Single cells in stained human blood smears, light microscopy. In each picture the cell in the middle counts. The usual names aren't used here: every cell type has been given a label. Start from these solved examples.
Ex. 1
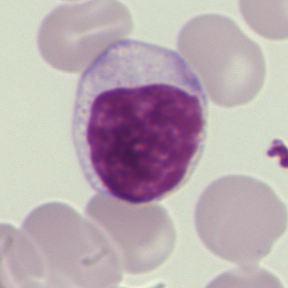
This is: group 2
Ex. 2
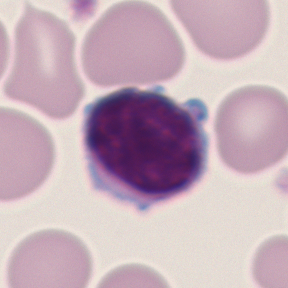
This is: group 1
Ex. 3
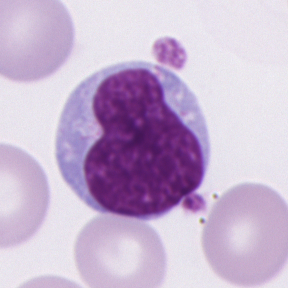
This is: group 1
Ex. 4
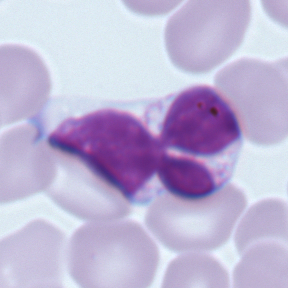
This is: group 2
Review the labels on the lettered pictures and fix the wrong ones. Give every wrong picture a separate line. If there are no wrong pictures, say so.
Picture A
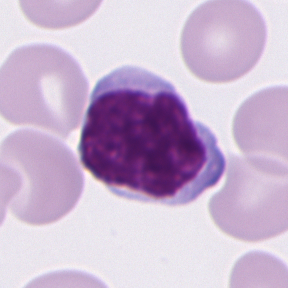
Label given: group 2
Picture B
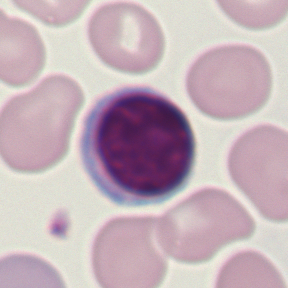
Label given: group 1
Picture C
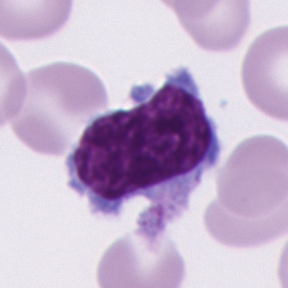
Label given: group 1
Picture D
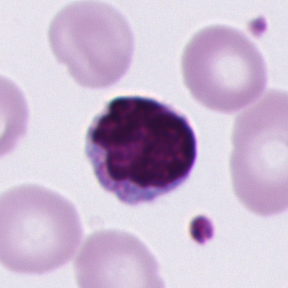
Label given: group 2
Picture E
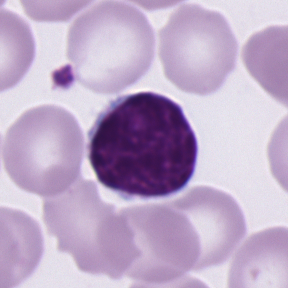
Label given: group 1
A is labelled group 2; correct label: group 1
